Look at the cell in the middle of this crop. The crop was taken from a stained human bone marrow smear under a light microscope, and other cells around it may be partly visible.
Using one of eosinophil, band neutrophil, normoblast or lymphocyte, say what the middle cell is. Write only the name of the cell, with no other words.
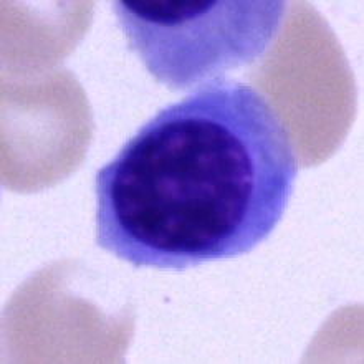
normoblast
